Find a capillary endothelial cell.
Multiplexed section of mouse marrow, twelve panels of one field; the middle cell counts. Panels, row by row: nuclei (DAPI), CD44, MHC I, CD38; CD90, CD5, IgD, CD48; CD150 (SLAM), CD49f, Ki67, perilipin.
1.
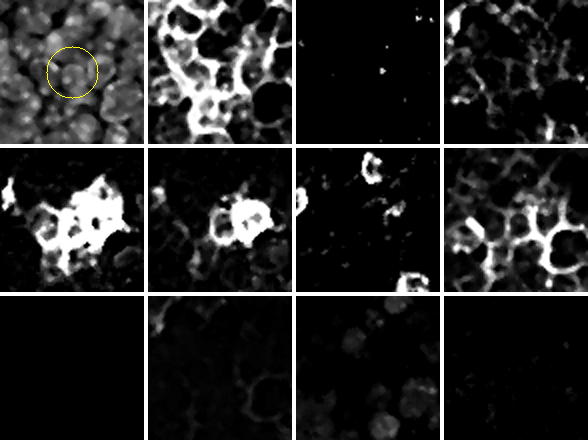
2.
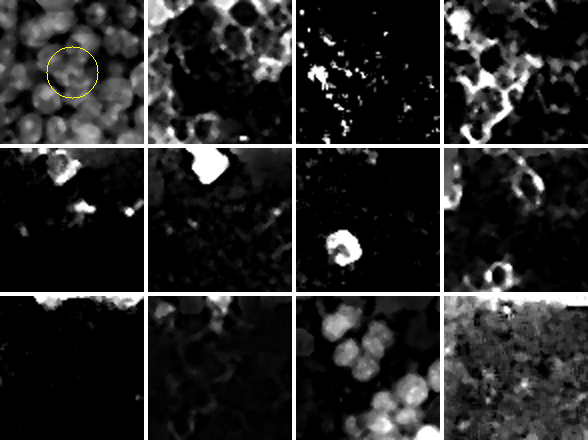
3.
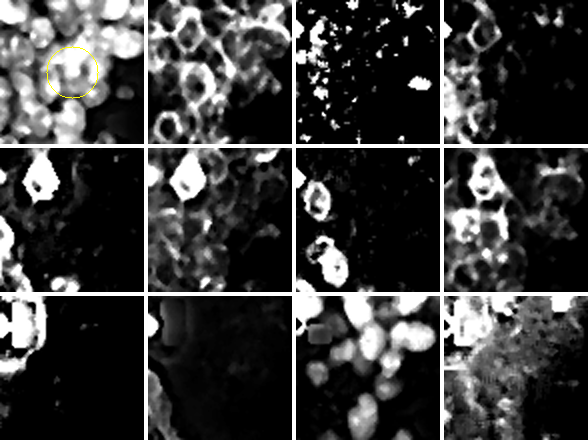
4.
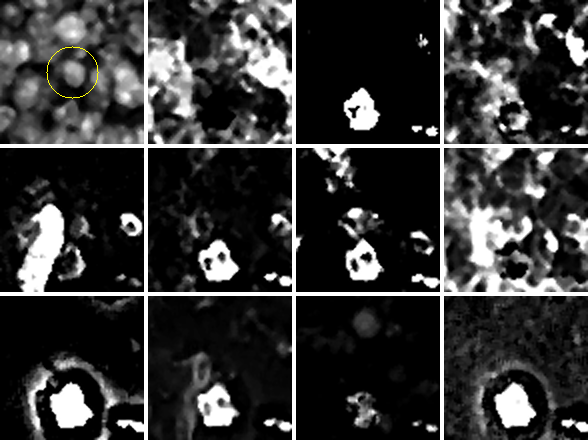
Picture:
2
